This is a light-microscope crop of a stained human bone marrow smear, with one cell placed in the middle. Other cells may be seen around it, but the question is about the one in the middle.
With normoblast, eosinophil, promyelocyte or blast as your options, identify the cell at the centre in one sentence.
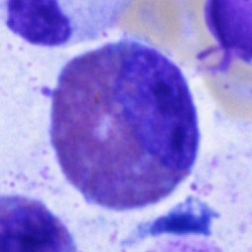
Whatever else lies nearby, the middle cell is an eosinophil.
